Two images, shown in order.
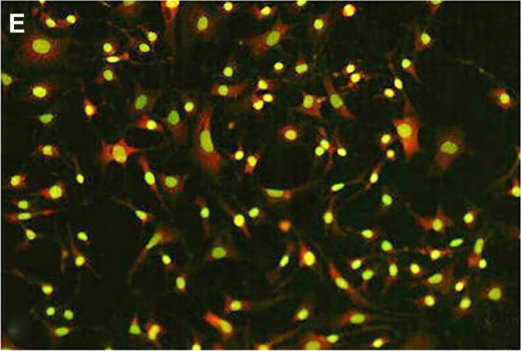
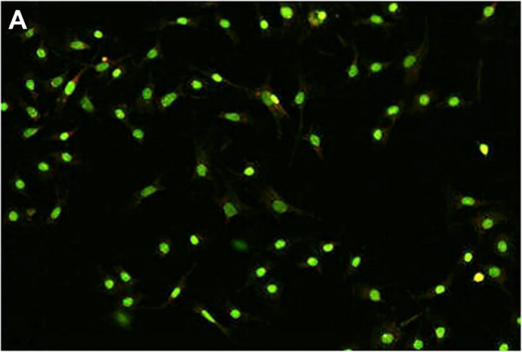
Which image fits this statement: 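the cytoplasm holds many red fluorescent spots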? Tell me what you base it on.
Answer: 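First image: most cells show orange-red cytoplasm around the green nuclei. Second image: cells show green nuclei with little or no red in the cytoplasm. The answer: the first image.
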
